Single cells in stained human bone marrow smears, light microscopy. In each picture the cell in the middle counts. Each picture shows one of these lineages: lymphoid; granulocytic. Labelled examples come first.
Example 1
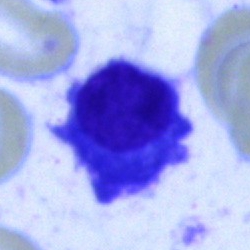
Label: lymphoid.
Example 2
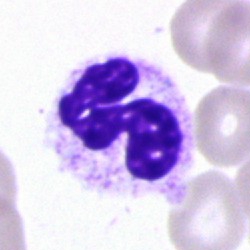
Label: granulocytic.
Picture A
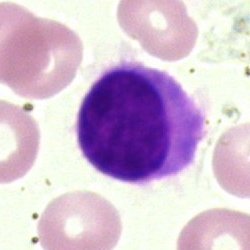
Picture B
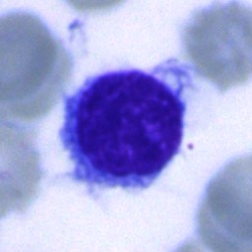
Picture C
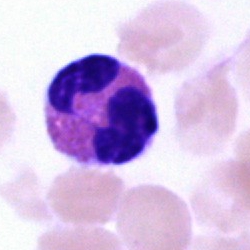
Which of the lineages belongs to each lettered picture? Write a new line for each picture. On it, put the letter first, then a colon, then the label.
A: lymphoid.
B: lymphoid.
C: granulocytic.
